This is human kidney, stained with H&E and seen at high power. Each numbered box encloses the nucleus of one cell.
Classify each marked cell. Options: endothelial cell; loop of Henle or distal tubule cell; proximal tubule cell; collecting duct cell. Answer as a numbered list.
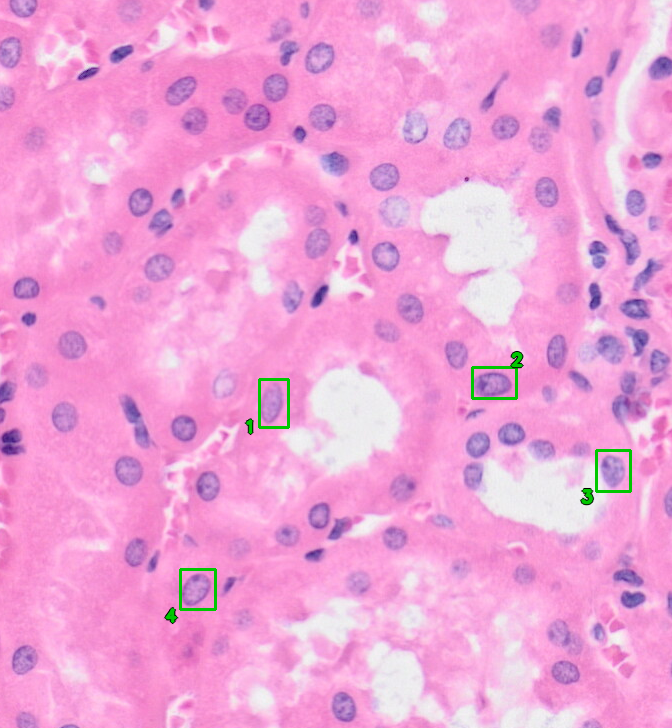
1. proximal tubule cell
2. proximal tubule cell
3. loop of Henle or distal tubule cell
4. proximal tubule cell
